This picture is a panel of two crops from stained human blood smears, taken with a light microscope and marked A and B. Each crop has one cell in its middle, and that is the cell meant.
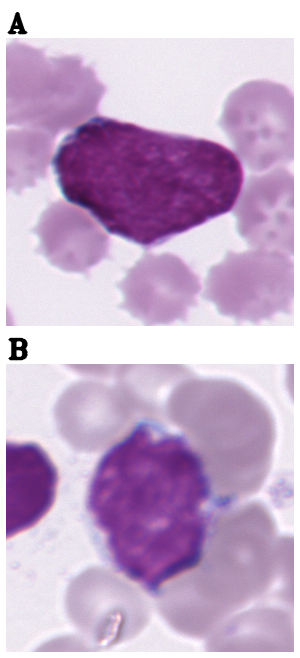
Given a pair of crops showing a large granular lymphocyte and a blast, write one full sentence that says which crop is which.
Crop A and crop B are a blast and a large granular lymphocyte, in that order.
